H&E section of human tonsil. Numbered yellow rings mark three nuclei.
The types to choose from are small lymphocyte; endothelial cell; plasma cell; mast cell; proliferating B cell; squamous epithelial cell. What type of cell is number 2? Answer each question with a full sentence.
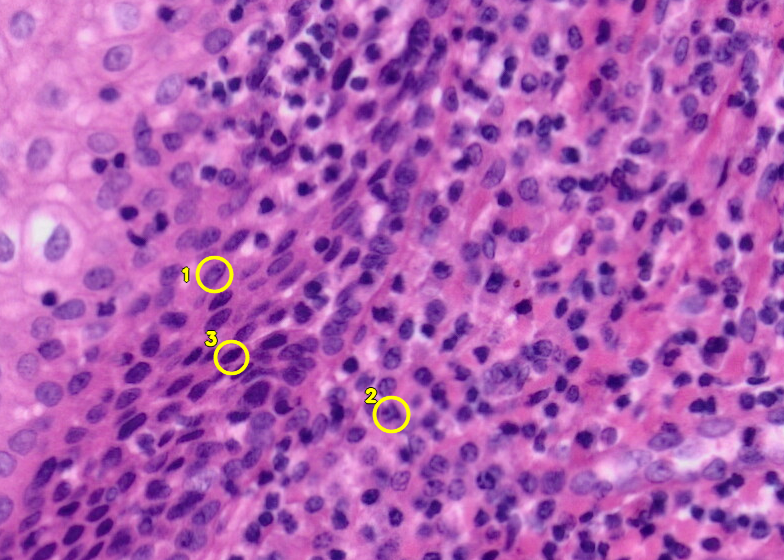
The cell numbered 2 represents a plasma cell.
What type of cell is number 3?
The cell marked with the number 3 is a squamous epithelial cell.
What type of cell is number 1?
The cell identified by the number 1 is a squamous epithelial cell.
